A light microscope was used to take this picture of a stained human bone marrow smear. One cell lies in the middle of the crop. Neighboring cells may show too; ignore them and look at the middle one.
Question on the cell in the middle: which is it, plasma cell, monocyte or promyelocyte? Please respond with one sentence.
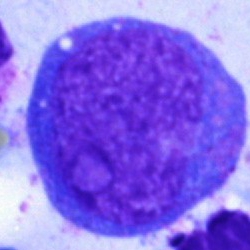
The cell the crop is centered on is a promyelocyte.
